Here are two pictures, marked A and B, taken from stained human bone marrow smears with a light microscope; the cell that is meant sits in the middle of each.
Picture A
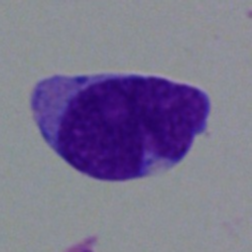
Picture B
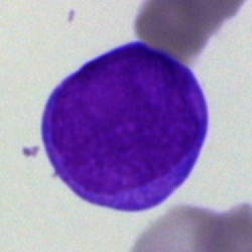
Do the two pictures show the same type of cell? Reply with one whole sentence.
Yes, the two pictures both show blasts.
